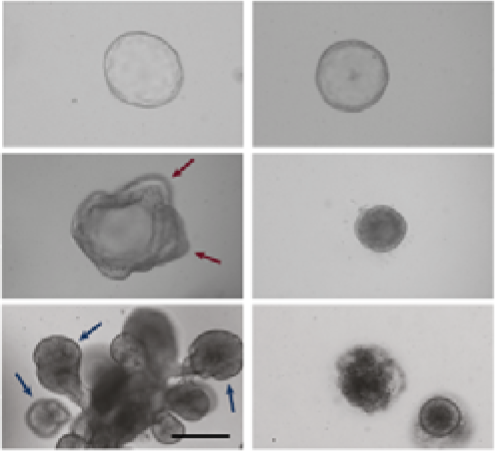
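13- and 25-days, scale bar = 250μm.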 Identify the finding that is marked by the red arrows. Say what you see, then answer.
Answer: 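Budding-like structures. The red arrows point to folded, thickened outer edges of an organoid. The organoid outline is no longer a smooth circle but shows protruding folds.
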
